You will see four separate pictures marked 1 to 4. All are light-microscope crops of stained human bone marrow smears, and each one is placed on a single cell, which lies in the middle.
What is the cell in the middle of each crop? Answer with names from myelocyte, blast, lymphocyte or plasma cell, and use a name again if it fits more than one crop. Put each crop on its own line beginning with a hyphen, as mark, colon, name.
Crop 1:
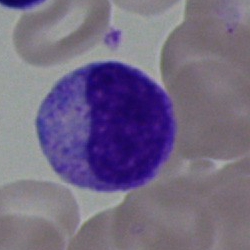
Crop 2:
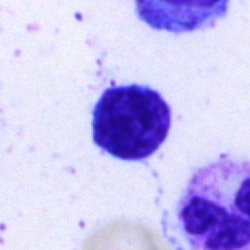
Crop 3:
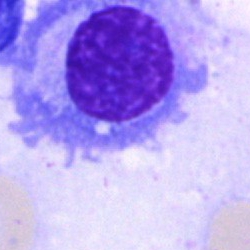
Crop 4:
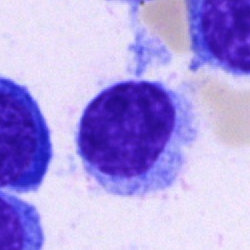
- 1: myelocyte
- 2: lymphocyte
- 3: plasma cell
- 4: lymphocyte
